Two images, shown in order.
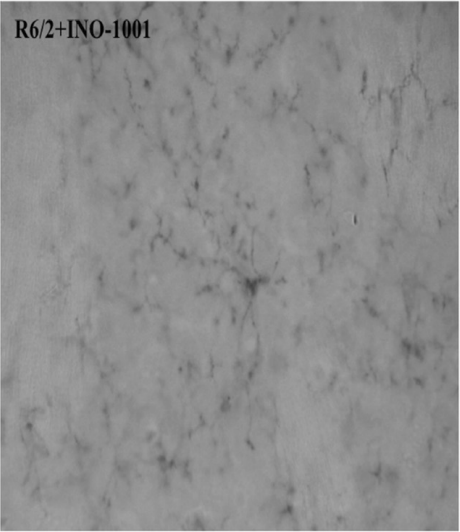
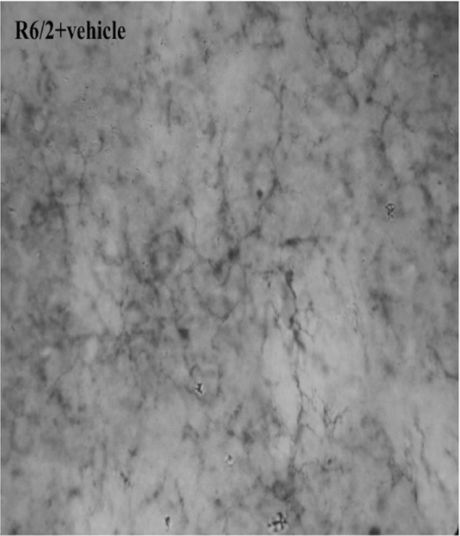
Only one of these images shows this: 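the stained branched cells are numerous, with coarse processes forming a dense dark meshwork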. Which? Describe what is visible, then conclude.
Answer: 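First image: lighter, sparser staining with thin, fine processes.
Hence: the second image.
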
